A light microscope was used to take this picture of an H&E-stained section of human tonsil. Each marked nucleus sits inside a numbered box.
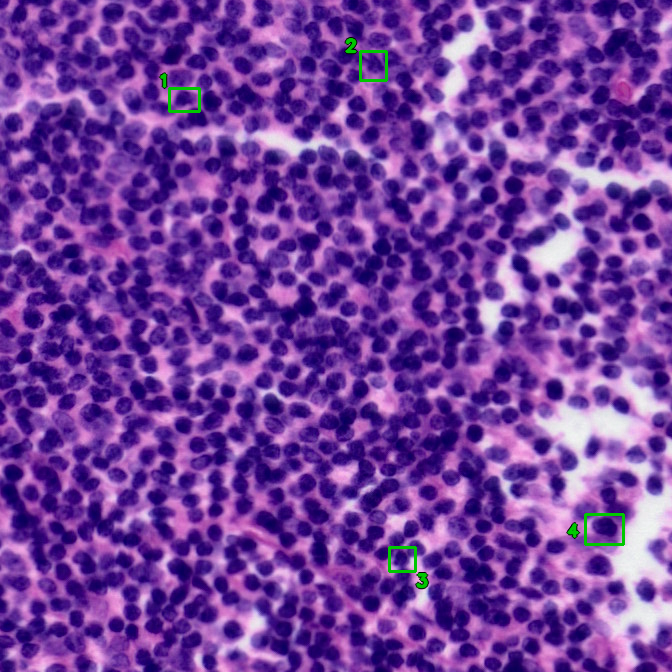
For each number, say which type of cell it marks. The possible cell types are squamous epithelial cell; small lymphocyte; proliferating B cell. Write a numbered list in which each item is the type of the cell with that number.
1. small lymphocyte
2. small lymphocyte
3. small lymphocyte
4. proliferating B cell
